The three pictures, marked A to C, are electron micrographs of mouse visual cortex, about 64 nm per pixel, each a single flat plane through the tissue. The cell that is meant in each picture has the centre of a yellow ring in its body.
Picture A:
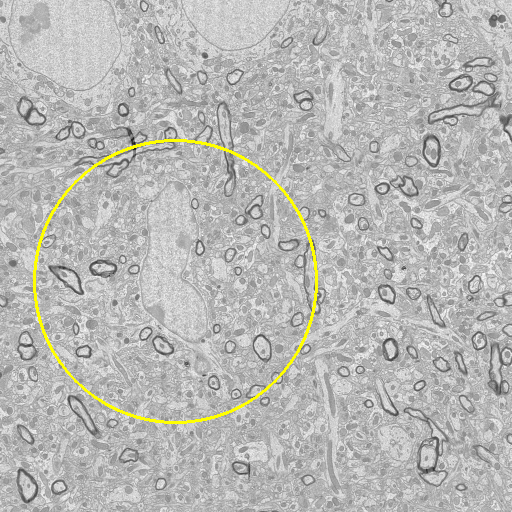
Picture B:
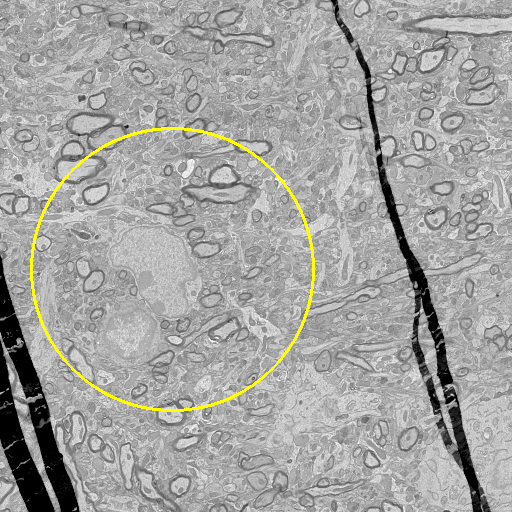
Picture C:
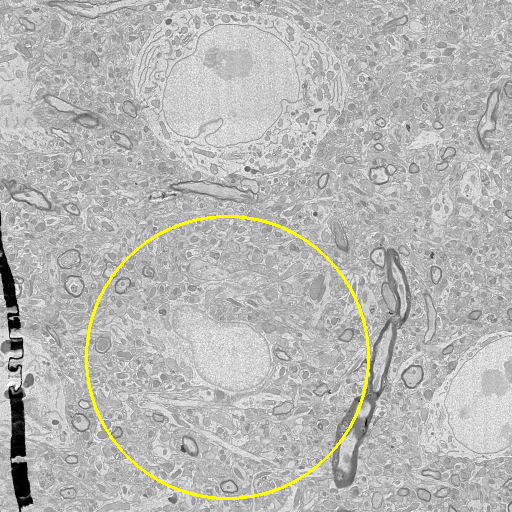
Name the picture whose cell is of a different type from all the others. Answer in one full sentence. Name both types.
All pictures except C show oligodendrocyte precursor cells; picture C shows an astrocyte.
